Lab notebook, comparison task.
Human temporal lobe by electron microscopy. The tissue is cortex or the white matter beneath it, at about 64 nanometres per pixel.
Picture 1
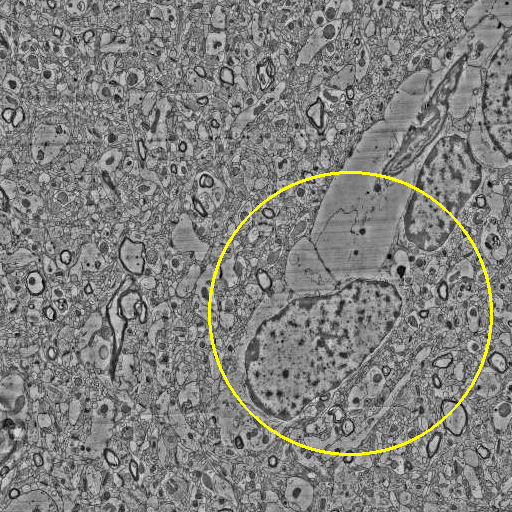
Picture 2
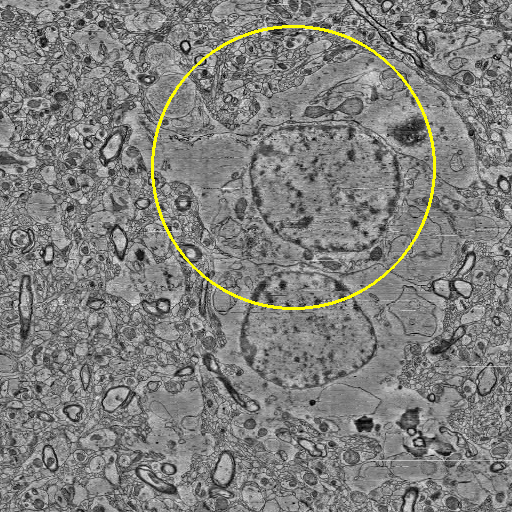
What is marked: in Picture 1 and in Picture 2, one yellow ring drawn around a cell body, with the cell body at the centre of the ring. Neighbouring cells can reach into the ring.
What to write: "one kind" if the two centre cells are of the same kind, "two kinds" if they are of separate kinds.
two kinds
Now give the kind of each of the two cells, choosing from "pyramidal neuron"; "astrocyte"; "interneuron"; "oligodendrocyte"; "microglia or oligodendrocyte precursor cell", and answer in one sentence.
The cell in the first picture is a microglial cell or oligodendrocyte precursor cell, and the cell in the second is an astrocyte.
